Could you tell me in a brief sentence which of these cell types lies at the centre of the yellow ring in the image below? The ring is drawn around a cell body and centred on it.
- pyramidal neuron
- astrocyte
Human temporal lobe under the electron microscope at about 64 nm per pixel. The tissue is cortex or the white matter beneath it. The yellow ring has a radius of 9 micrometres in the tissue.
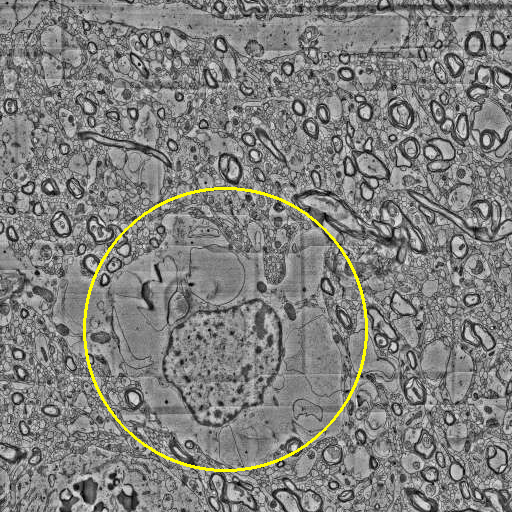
The cell centred in the ring is an astrocyte.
